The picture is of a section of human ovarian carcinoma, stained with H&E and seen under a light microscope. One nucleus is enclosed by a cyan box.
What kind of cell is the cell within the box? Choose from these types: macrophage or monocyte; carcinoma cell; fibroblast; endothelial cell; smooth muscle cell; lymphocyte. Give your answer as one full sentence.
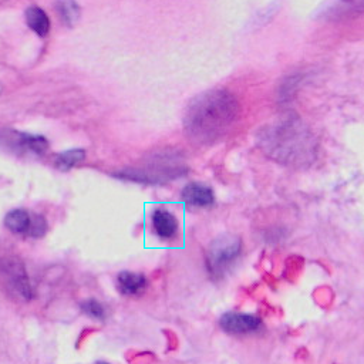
To be brief about it, the cell within the box is a lymphocyte.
